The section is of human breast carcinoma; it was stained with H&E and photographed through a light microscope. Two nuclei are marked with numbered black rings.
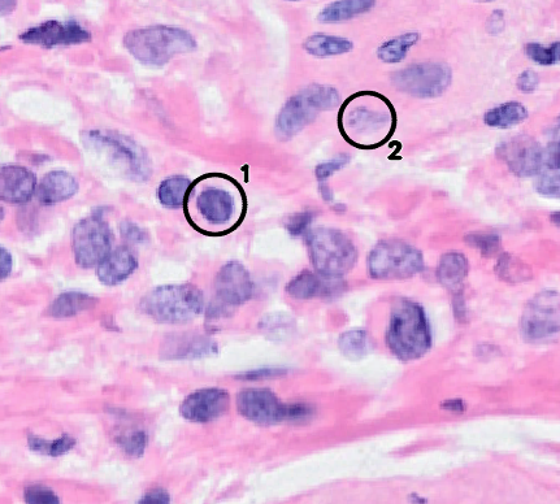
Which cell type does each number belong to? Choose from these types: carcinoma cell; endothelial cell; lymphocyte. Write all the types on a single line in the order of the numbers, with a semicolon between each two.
carcinoma cell; endothelial cell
